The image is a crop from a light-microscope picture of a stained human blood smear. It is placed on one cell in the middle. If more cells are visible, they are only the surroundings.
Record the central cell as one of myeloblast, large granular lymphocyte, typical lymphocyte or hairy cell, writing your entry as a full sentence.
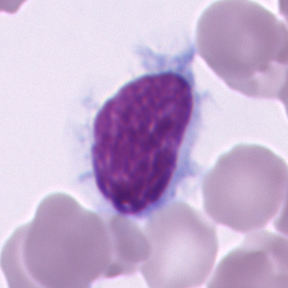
By classification, the middle cell of this crop is a hairy cell.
